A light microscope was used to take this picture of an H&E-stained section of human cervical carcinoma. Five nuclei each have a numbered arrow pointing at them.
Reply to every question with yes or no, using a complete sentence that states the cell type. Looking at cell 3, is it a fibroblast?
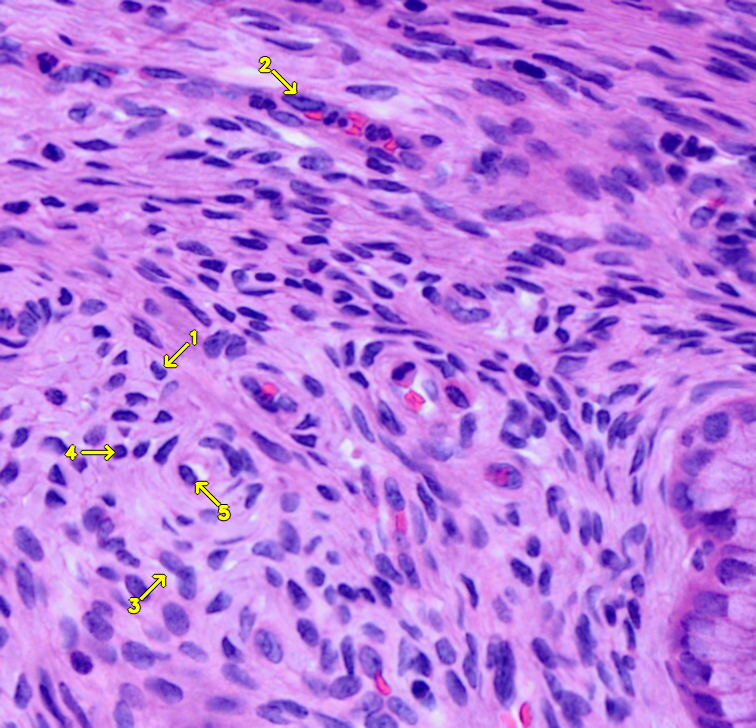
Yes, the numbered cell 3 is a fibroblast.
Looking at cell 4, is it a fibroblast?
Yes, the cell that bears number 4 is a fibroblast.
